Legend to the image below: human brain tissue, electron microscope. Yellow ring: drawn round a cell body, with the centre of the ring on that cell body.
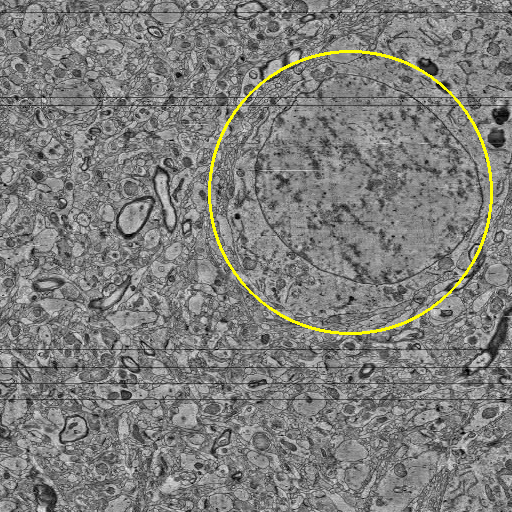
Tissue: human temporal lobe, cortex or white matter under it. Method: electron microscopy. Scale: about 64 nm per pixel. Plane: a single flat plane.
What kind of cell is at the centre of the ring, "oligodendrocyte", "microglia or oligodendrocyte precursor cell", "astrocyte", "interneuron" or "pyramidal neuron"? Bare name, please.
pyramidal neuron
